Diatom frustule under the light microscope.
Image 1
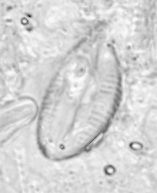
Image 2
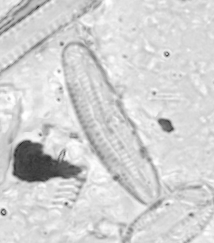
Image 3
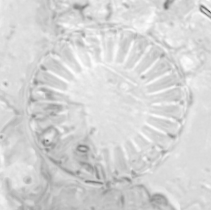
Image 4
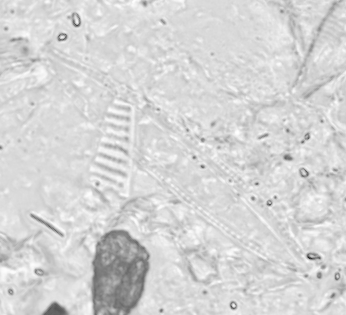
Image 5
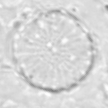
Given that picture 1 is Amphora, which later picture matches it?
2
